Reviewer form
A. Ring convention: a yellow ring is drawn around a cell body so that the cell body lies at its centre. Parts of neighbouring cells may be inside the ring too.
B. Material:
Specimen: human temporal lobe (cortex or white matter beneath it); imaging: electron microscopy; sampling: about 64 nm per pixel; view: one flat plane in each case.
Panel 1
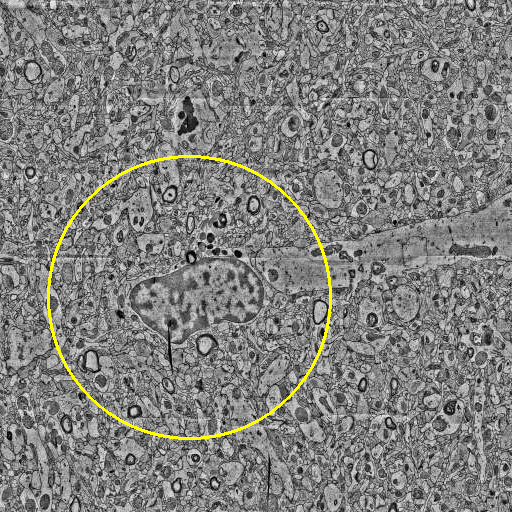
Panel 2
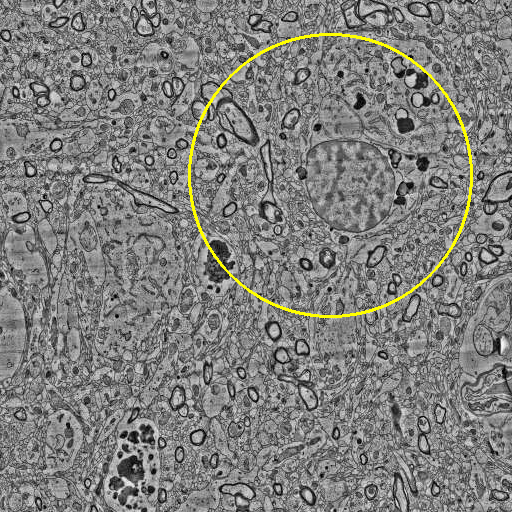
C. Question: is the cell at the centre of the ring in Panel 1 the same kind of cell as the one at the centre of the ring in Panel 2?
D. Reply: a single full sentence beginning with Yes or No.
Yes, the cells in Panel 1 and Panel 2 are the same kind of cell.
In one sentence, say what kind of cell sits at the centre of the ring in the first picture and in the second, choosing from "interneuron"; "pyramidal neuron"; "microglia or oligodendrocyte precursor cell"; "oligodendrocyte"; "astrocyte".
The second cell is a microglial cell or oligodendrocyte precursor cell, just as the first is.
